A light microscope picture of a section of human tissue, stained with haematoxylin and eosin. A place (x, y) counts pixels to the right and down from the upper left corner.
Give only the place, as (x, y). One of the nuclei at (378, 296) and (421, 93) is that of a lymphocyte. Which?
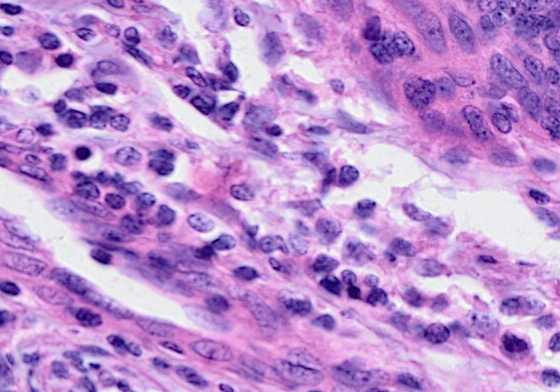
(378, 296)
